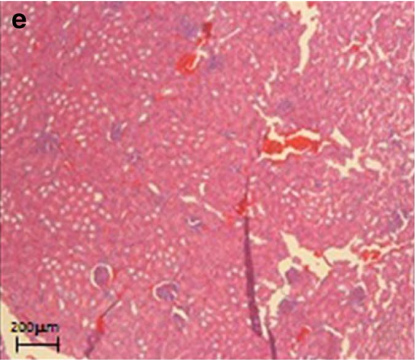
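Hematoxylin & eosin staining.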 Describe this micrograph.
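This is kidney cortex, made up of densely packed renal tubules cut in cross and oblique section. The tubules appear as many small rounded profiles with pink eosinophilic epithelial walls and small clear central lumina, giving the field a sieve-like look. Scattered among them are a few rounded glomeruli lying within clear capsular spaces. Small vessels and interstitial spaces contain red blood cells, and a few elongated clefts cross the tissue. No dense purple nodules of foreign cells are seen within the parenchyma.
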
